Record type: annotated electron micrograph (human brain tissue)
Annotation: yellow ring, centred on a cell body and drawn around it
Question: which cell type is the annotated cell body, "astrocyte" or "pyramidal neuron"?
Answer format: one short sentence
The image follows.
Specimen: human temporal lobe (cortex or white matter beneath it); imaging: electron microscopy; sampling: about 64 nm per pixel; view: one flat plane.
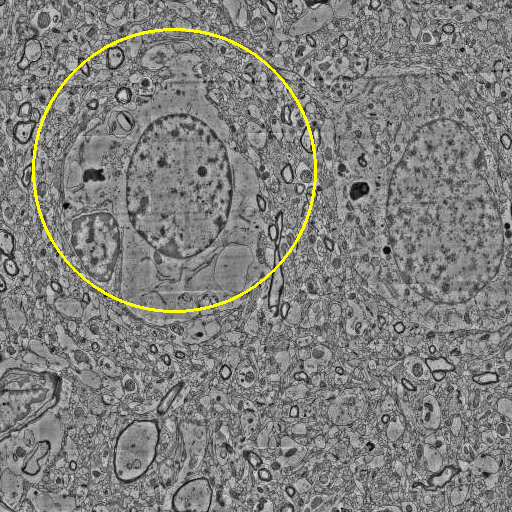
The annotated cell body is that of an astrocyte.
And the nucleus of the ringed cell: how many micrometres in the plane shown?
Approximately 9 by 7 micrometers in this plane.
